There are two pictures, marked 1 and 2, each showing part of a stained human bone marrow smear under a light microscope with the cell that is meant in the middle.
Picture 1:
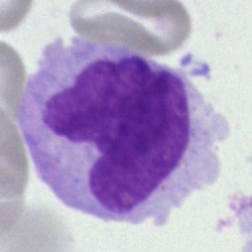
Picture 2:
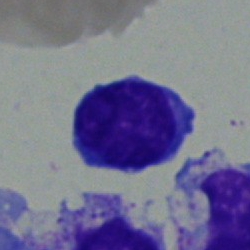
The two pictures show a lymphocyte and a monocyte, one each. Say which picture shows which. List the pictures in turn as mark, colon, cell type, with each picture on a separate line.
1: monocyte
2: lymphocyte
